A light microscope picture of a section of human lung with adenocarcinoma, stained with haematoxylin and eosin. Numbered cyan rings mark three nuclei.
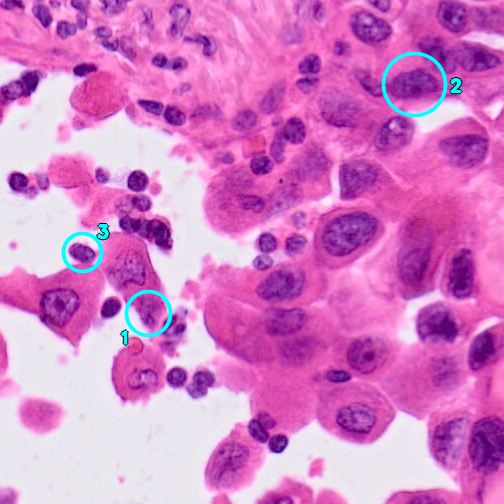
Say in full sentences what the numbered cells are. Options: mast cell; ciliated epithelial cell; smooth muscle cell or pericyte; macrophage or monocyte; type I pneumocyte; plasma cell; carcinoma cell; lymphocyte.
Cells 1 and 2 are carcinoma cells. Cell 3 is a lymphocyte.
